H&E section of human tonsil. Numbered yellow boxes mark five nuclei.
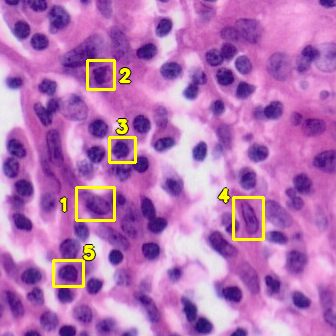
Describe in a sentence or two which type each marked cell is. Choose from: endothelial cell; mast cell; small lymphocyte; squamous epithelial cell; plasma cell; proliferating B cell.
Cell 1 is a squamous epithelial cell, cell 2 is a squamous epithelial cell, cell 3 is a plasma cell, cell 4 is a squamous epithelial cell and cell 5 is a plasma cell.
